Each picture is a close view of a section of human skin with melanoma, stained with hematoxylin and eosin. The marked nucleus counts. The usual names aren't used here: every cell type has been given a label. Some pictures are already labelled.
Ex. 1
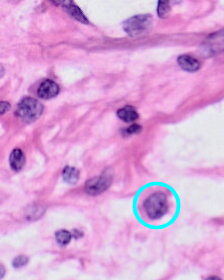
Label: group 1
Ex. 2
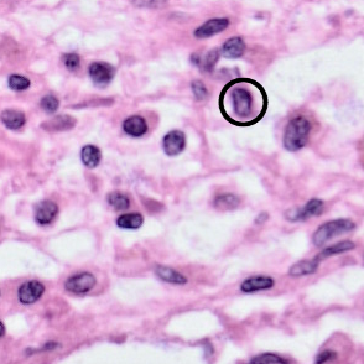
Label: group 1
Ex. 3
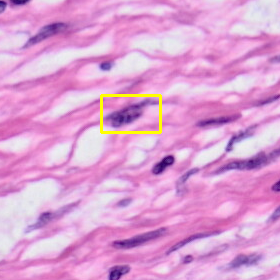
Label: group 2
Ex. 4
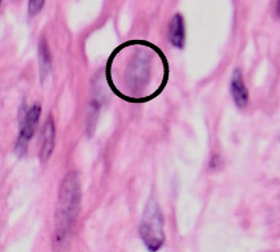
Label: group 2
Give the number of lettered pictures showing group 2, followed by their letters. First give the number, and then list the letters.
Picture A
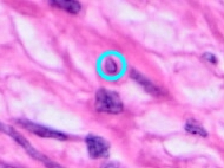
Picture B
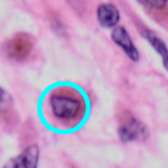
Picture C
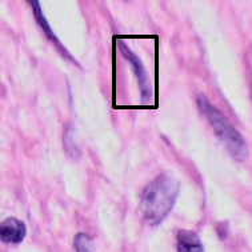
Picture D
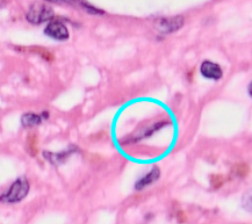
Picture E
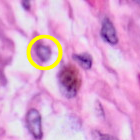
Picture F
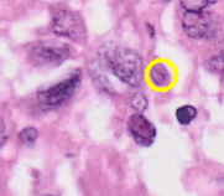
2: C, D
